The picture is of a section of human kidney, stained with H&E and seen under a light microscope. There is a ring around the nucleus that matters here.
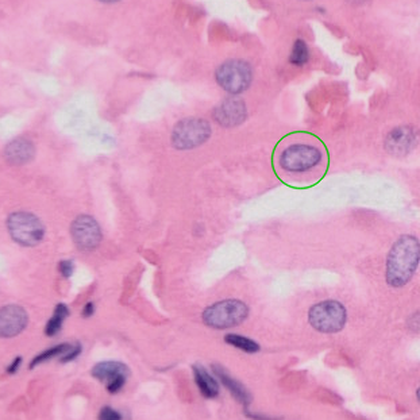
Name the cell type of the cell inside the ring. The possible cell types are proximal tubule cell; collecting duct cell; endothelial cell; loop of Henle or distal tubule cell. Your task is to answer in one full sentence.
What the cell inside the ring represents is a proximal tubule cell.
